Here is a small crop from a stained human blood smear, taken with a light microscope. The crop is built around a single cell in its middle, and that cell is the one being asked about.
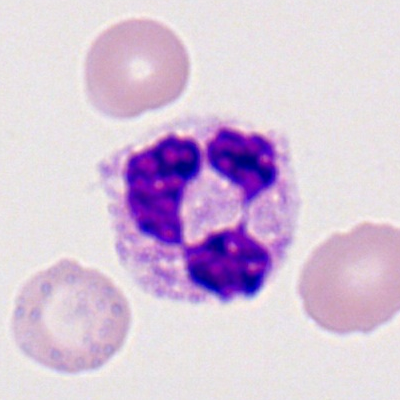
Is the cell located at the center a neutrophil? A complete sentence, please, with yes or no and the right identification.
Yes, a neutrophil is what the central cell is.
